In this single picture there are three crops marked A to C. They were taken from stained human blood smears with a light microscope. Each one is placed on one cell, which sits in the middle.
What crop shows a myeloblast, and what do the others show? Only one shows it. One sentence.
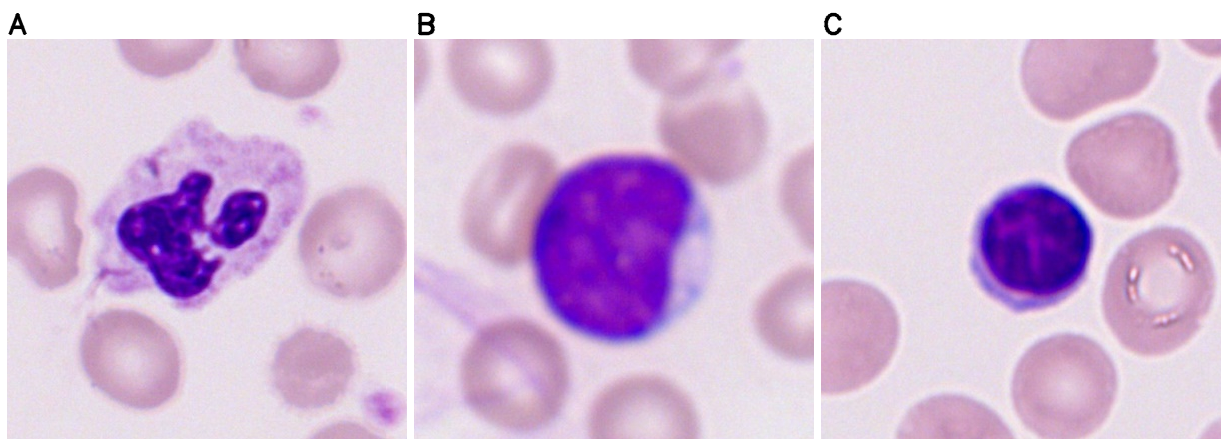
What crop B shows is a myeloblast, while crop A is a segmented neutrophil and crop C is a lymphocyte.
